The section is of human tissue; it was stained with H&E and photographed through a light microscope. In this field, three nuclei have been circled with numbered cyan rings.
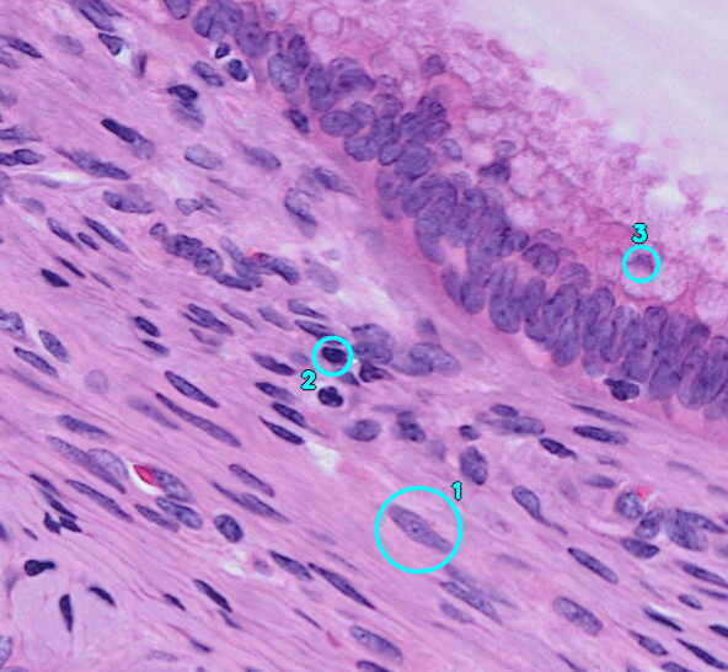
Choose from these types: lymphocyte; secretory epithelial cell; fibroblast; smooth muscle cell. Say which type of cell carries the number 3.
secretory epithelial cell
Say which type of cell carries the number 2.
lymphocyte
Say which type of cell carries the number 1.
fibroblast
